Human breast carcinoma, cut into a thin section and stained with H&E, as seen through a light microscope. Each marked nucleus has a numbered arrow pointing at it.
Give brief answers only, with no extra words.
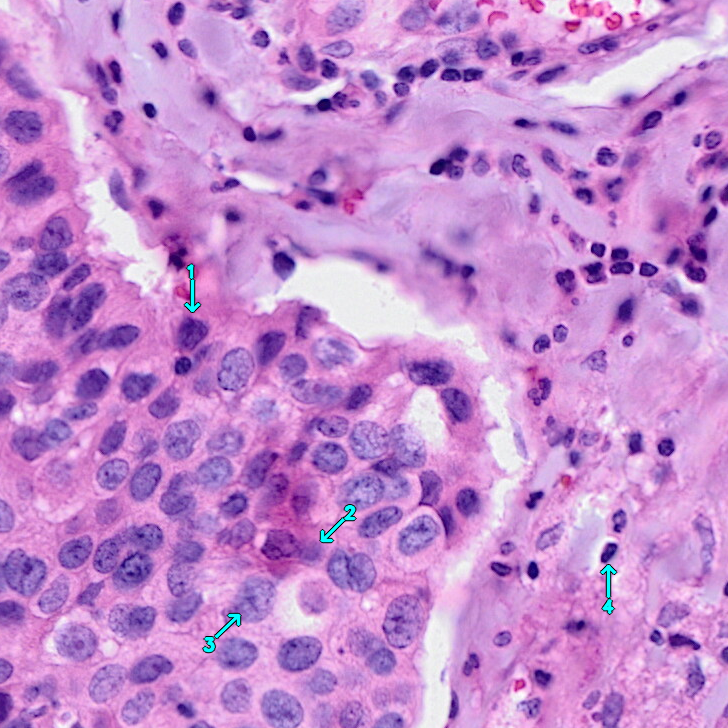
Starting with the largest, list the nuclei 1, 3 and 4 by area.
3, 1, 4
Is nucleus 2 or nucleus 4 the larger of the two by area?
2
